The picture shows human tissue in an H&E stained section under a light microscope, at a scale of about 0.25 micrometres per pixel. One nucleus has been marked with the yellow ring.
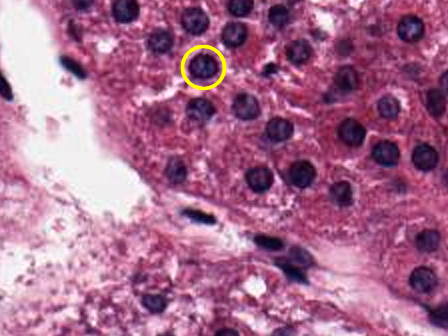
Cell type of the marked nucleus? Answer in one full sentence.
The marked nucleus belongs, in this picture, to an adrenal cortical cell.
